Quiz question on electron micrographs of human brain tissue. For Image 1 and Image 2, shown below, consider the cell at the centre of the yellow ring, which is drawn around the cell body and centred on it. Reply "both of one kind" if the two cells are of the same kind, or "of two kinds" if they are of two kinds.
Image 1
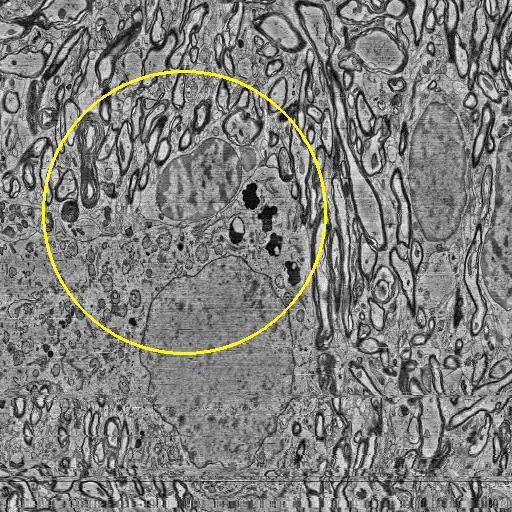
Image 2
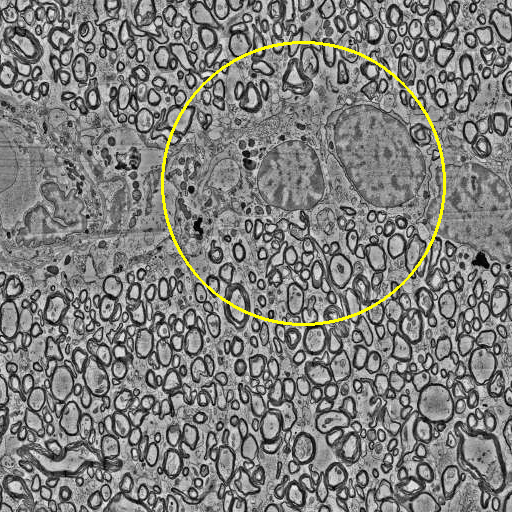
both of one kind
